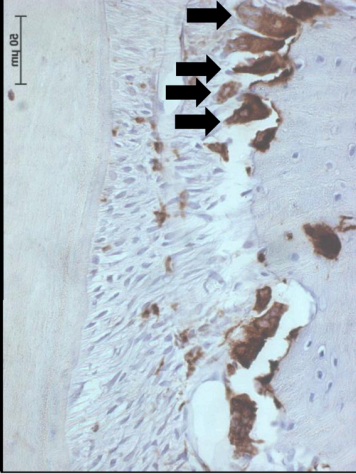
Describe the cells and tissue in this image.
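Large, dark brown osteoclasts sit along the outline of the alveolar bone at the right of the field. A band of fibrous tissue with many elongated, blue-stained nuclei runs vertically between a pale, smooth hard tissue at the left and the bone at the right. The brown cells are bulky and irregular and lie pressed against the bone surface, some within hollows of the bone. Further brown cells lie within spaces of the bone below.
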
